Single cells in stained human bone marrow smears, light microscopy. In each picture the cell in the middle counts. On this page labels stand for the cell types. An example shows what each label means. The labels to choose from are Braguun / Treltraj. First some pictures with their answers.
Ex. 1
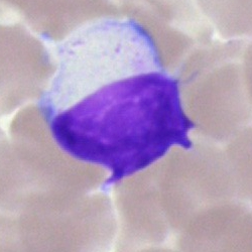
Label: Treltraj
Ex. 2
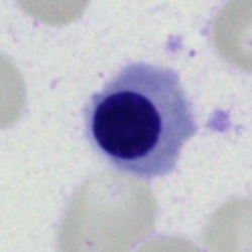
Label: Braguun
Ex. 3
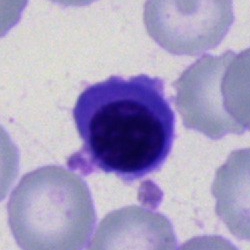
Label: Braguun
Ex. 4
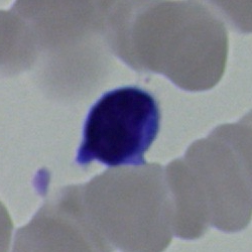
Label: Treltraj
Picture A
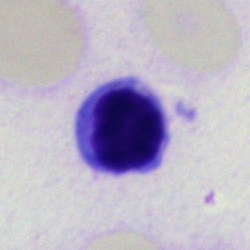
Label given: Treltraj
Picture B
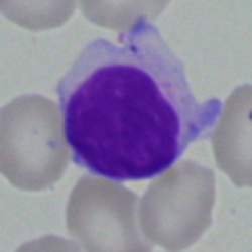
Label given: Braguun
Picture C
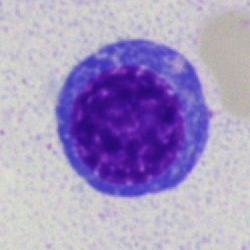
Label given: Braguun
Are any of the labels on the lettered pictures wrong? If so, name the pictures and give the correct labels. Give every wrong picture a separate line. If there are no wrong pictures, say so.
Wrong: B (Braguun); correct: Treltraj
